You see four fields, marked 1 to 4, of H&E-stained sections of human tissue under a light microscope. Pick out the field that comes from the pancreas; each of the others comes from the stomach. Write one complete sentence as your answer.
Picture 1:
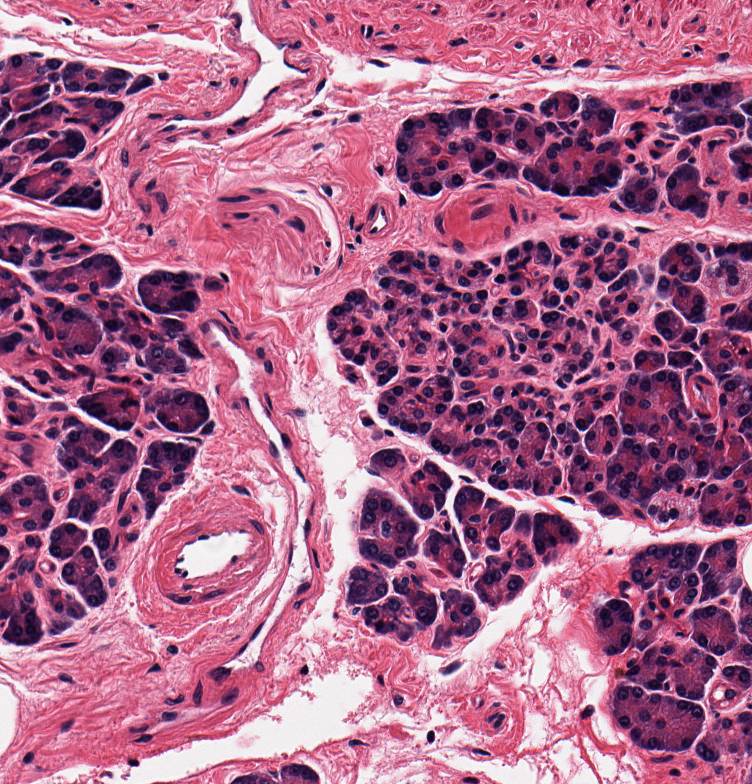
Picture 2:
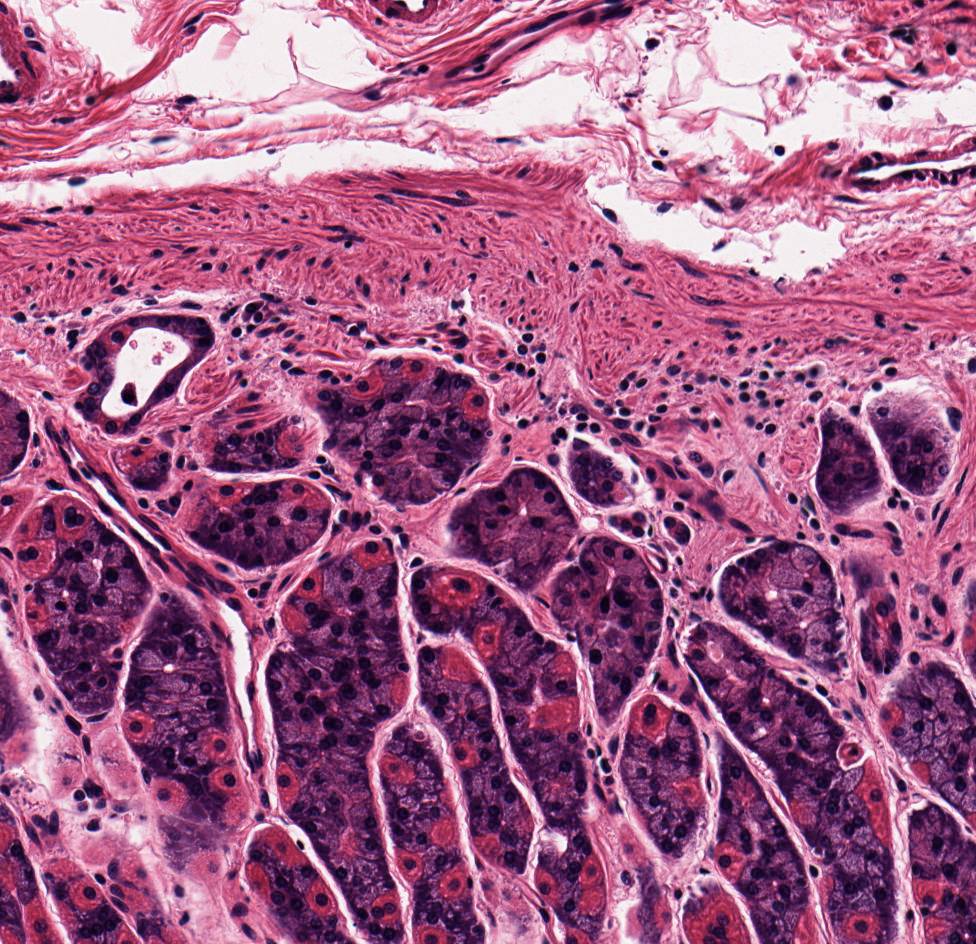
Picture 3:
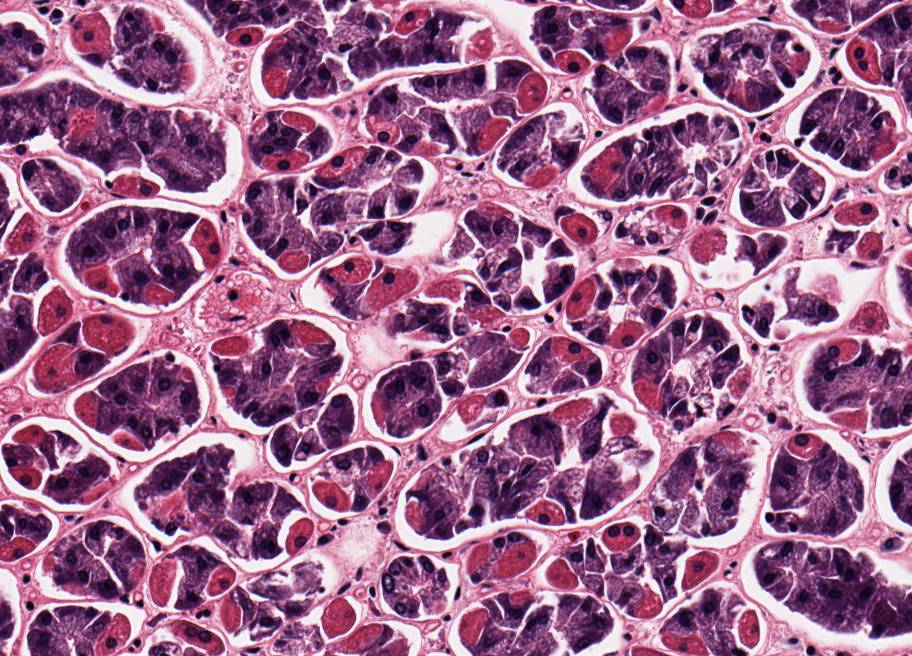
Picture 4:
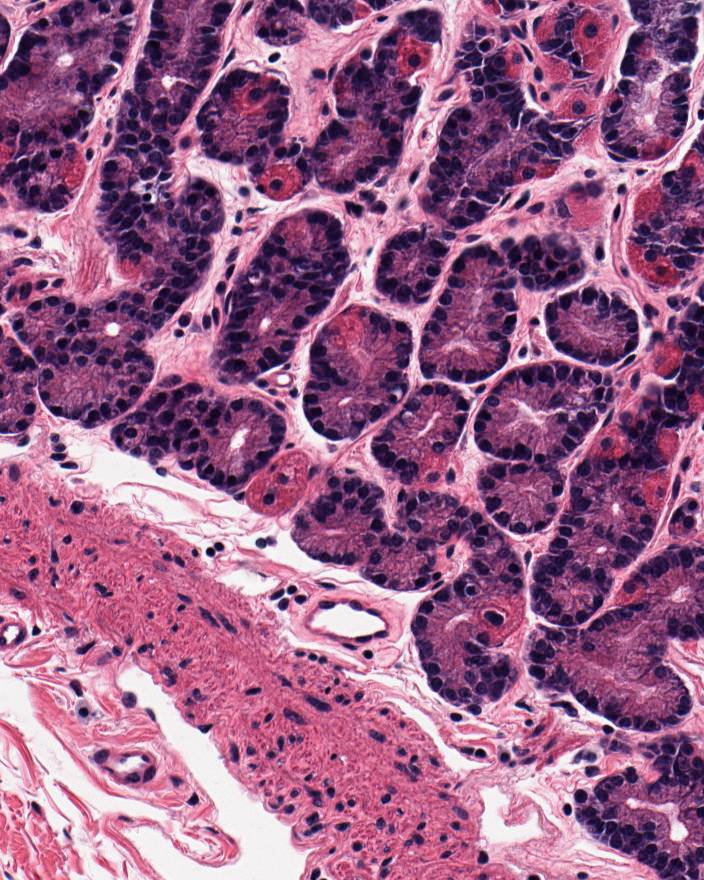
The one that comes from the pancreas is picture 1.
